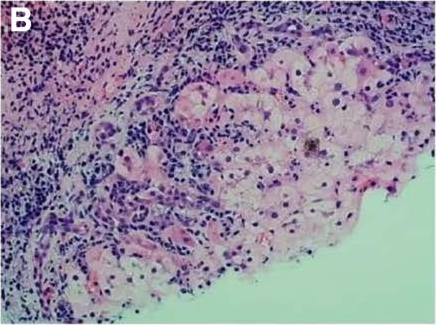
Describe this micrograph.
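This is liver in which a band of inflamed connective tissue curves around a nest of hepatocytes. The band is packed with small cells with dark, elongated or round nuclei. The enclosed hepatocytes are large with pale, clear to finely pink cytoplasm and round nuclei, and they form a rounded cluster cut off by the surrounding band. A small brown pigmented granule lies among the hepatocytes.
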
